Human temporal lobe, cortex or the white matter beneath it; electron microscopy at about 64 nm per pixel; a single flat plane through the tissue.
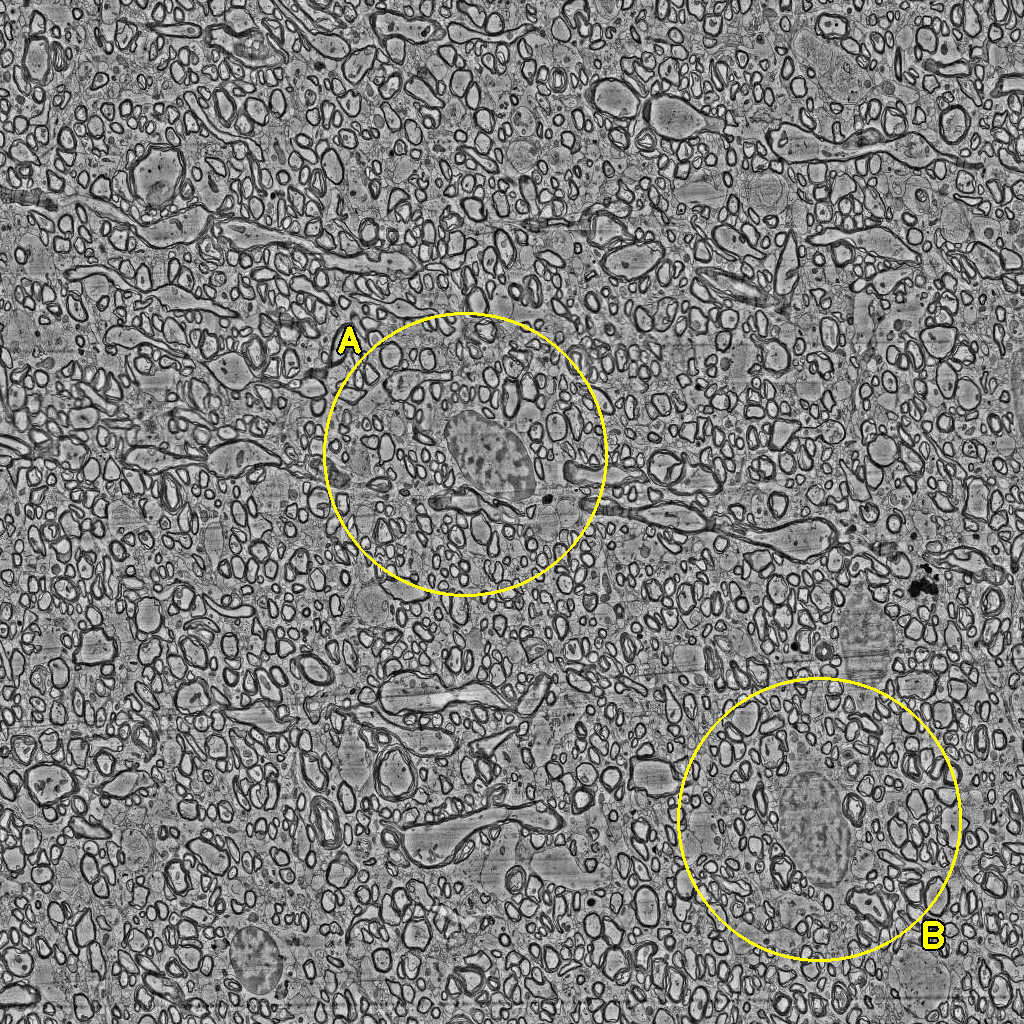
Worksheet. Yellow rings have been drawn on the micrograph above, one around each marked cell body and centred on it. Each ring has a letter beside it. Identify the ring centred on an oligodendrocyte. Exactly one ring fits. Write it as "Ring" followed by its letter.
Ring B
